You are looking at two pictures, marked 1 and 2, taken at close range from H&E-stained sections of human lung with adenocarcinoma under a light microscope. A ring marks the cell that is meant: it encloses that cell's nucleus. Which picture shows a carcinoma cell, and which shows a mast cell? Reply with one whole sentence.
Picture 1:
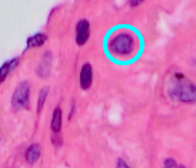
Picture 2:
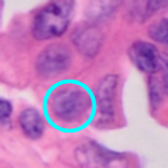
The cell in picture 1 is a mast cell, and the one in picture 2 is a carcinoma cell.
